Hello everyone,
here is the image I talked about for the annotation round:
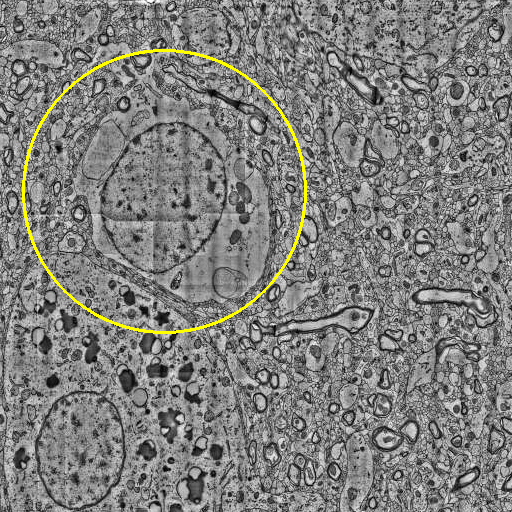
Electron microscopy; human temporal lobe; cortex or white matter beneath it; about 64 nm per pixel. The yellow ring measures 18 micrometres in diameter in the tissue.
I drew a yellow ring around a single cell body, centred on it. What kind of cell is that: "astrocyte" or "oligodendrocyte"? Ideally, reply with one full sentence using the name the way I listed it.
The cell your yellow ring is centred on is an astrocyte, going by your list.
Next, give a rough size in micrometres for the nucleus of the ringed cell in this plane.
The nucleus of the ringed cell is approximately 10 by 8 micrometres in this plane.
